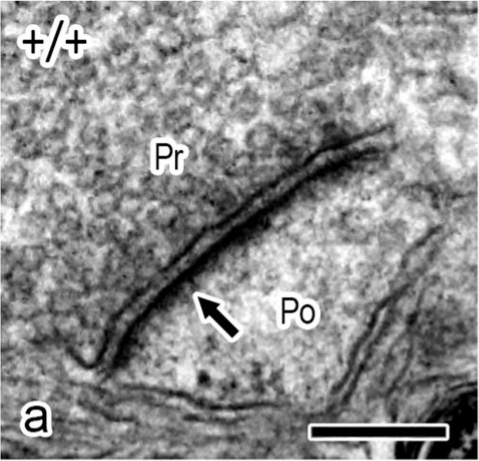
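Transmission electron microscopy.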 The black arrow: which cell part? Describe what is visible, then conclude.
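The arrow points to a dark, electron-dense band lining the membrane of the lower compartment. The dense band lies opposite a compartment filled with small round vesicles. A narrow pale cleft separates the two apposed membranes.
Hence: postsynaptic density.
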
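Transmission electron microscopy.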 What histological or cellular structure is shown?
Synapses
